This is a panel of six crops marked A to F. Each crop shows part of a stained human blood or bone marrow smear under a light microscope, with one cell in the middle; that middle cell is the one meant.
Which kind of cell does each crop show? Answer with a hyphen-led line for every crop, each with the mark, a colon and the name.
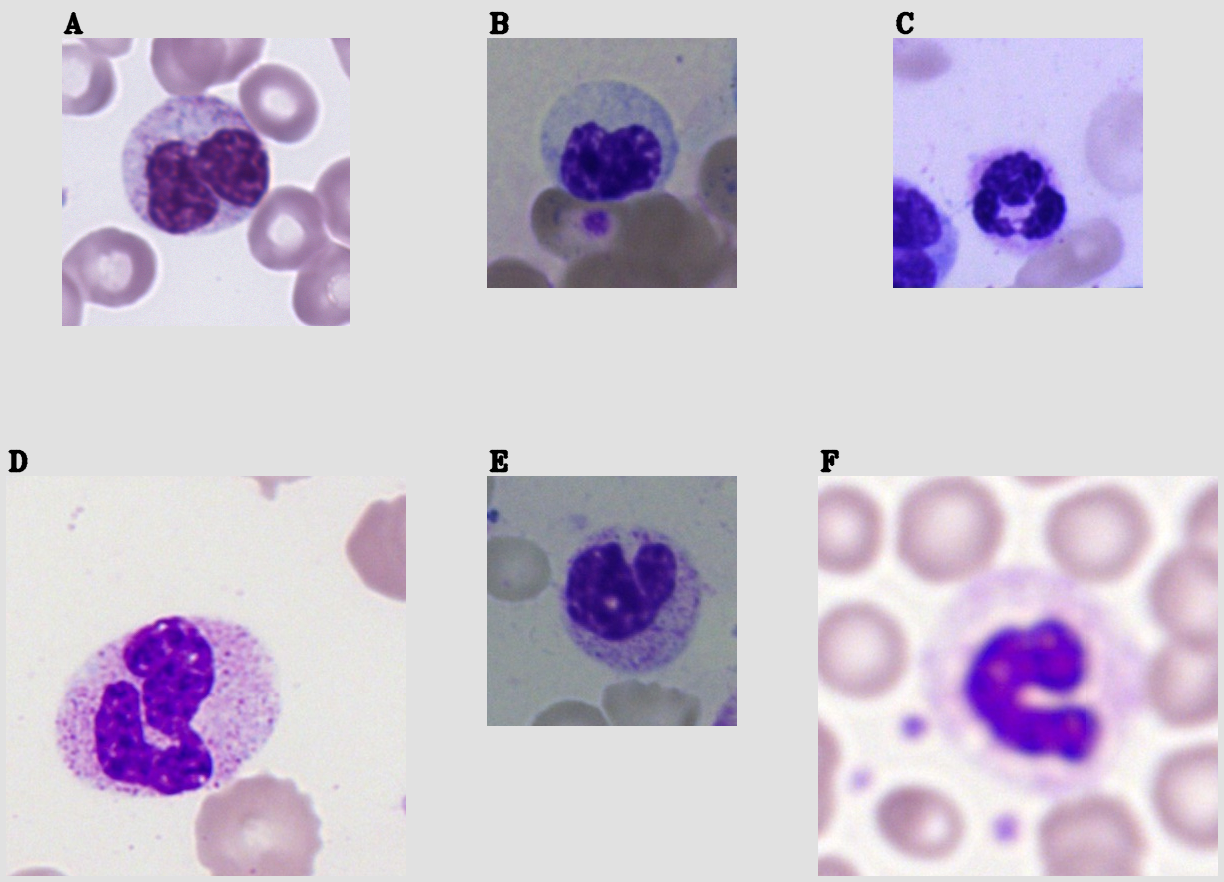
- A: segmented neutrophil
- B: band neutrophil
- C: segmented neutrophil
- D: segmented neutrophil
- E: band neutrophil
- F: band neutrophil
